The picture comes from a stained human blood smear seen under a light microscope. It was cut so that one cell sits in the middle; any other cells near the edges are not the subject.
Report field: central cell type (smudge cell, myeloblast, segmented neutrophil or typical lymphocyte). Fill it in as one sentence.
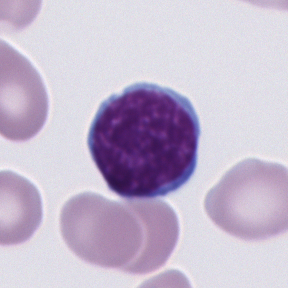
The cell in the middle of the field of view is a typical lymphocyte.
